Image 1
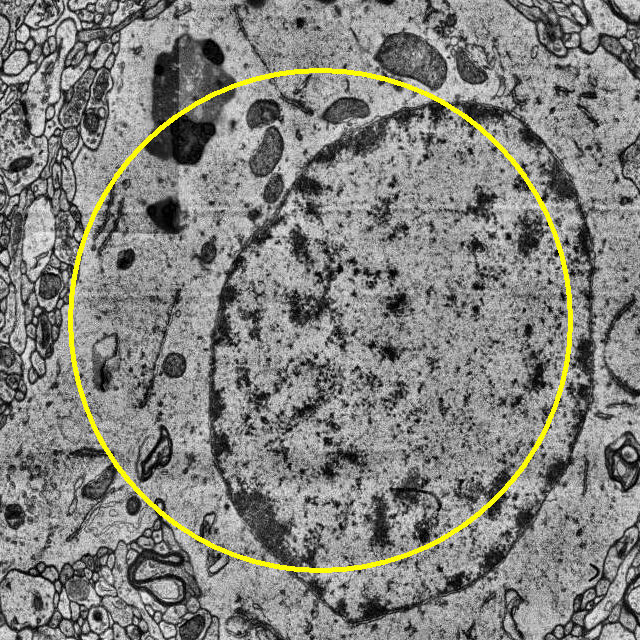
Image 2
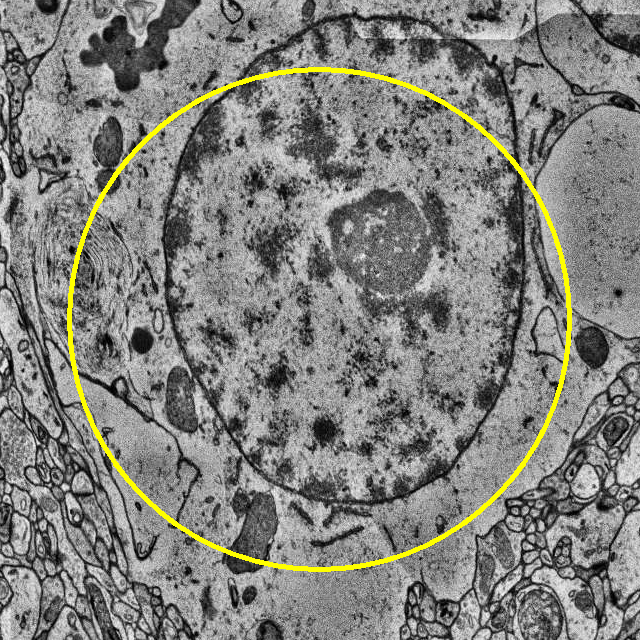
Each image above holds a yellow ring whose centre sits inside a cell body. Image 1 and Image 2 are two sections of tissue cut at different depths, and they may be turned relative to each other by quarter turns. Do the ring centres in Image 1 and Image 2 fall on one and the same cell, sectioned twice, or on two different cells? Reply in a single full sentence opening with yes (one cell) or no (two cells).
No, two cells, not one, are marked by the yellow rings.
